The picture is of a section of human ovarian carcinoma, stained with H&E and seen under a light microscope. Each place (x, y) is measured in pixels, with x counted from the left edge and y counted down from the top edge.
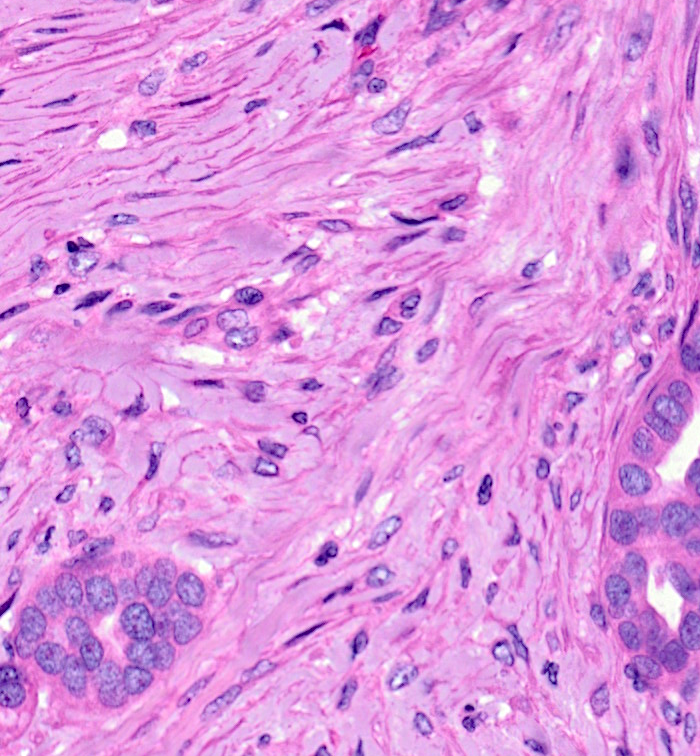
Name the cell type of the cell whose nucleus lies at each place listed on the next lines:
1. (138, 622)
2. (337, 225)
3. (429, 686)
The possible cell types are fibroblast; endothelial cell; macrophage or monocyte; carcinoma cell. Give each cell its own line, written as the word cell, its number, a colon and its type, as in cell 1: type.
cell 1: carcinoma cell
cell 2: fibroblast
cell 3: fibroblast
